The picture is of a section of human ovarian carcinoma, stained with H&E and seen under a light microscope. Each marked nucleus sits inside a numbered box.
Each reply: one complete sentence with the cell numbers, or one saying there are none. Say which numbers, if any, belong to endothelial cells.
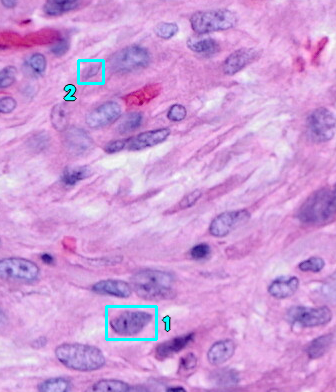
Of all the numbered cells, not one is counted among the endothelial cells.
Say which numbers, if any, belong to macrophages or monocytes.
Response: cell 1 is a macrophage or monocyte, and no other numbered cell is.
